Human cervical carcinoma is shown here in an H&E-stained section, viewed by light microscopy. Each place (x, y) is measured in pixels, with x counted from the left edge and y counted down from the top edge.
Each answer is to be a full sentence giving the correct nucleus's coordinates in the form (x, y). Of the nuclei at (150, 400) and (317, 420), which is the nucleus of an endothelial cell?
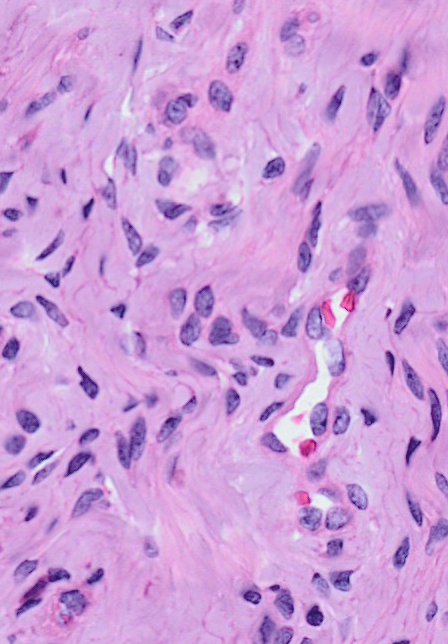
Heads up, the nucleus at (317, 420) is the one that belongs to an endothelial cell.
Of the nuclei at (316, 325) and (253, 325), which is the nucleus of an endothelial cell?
The nucleus that belongs to an endothelial cell is located at (316, 325).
